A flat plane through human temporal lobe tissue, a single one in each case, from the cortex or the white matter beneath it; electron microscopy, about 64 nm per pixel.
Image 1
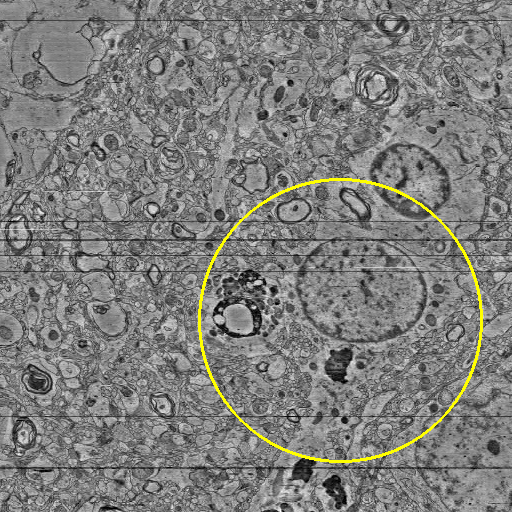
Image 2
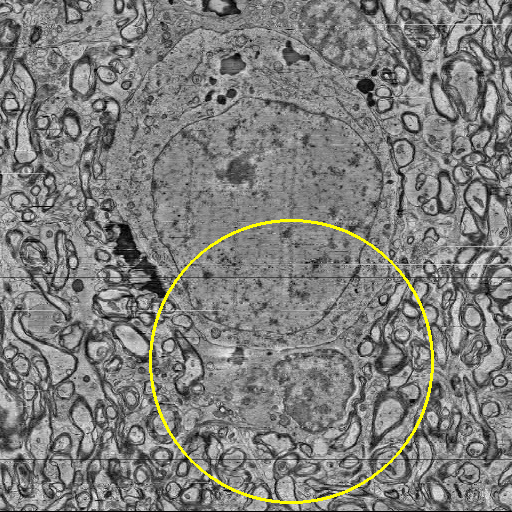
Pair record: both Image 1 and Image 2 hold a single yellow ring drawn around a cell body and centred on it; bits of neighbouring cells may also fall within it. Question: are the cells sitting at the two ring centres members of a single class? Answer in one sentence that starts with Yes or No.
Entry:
No, the ring-centre cells in Image 1 and Image 2 come from two classes.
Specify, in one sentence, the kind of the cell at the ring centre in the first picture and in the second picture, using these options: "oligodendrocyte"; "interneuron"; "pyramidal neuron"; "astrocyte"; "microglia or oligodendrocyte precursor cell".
So the first is an astrocyte, the second an oligodendrocyte.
